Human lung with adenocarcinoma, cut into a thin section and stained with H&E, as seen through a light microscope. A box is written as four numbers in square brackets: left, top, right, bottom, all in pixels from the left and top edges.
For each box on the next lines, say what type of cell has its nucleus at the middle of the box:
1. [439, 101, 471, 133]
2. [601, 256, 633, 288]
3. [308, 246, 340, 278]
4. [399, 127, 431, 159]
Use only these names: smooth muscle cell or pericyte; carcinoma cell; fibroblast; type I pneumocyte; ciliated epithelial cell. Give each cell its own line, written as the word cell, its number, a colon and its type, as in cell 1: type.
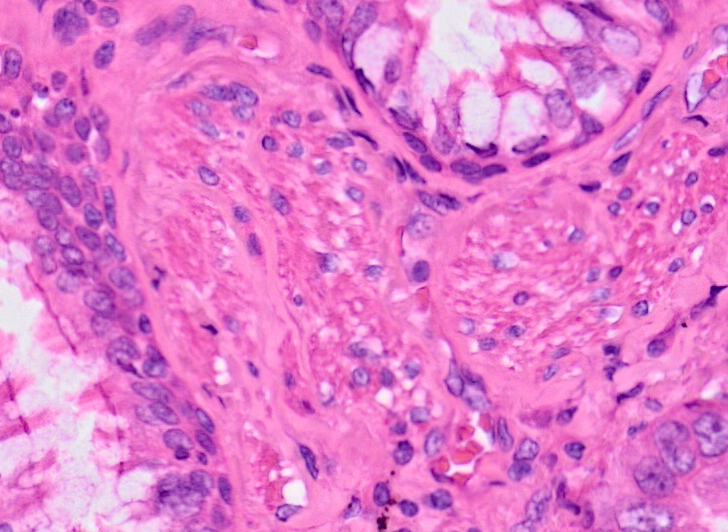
cell 1: ciliated epithelial cell
cell 2: smooth muscle cell or pericyte
cell 3: smooth muscle cell or pericyte
cell 4: ciliated epithelial cell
